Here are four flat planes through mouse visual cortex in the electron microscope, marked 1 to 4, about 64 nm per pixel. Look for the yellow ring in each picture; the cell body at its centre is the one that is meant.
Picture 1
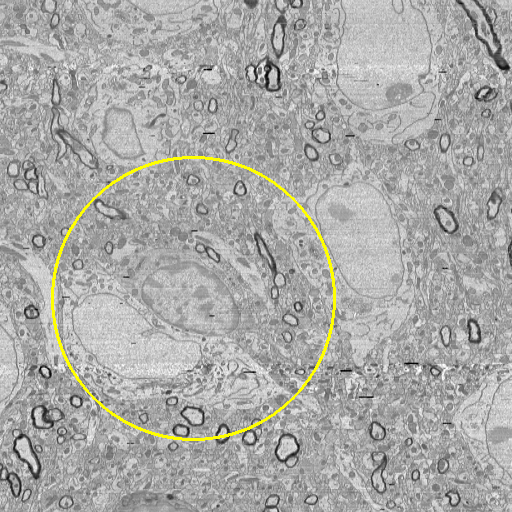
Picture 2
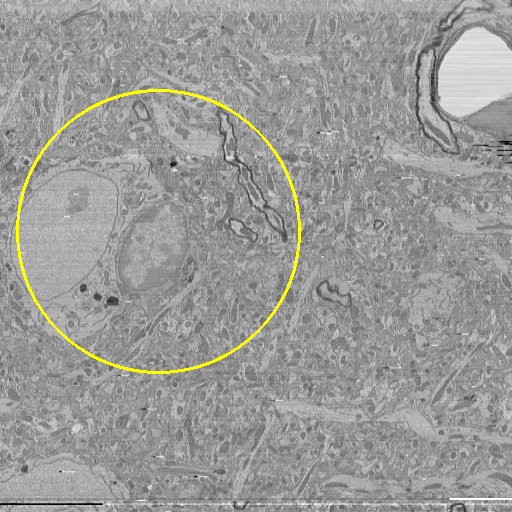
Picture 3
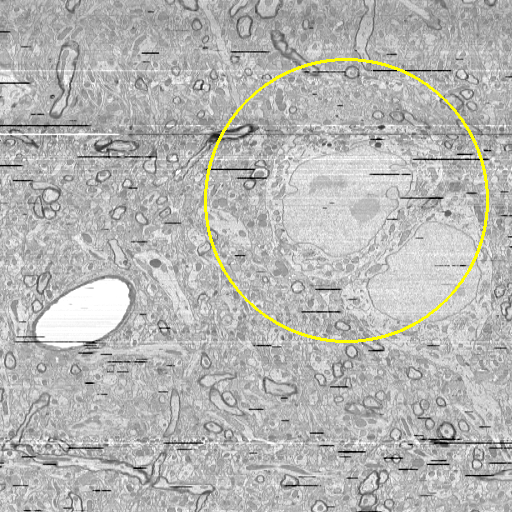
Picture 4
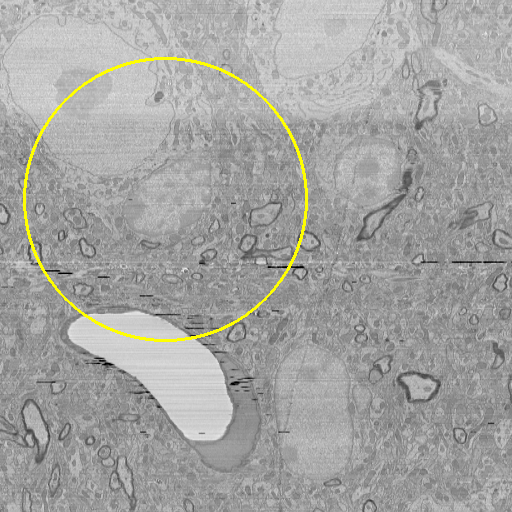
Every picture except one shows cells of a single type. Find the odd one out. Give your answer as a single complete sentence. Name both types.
Picture 3 differs, because its cell is an inhibitory neuron and the rest are oligodendrocytes.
